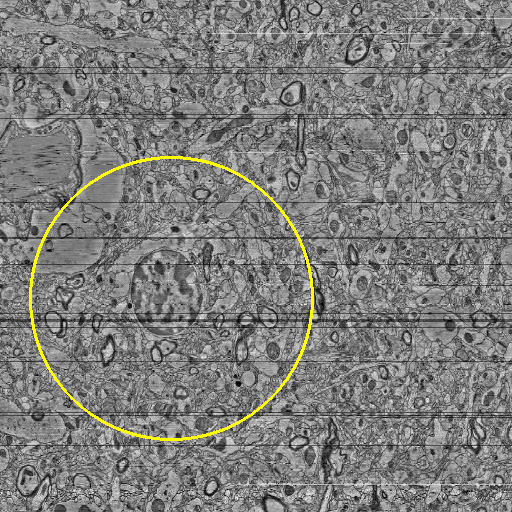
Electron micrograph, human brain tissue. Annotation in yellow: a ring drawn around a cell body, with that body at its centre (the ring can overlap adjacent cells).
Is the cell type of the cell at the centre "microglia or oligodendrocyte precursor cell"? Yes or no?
Yes, it is of that type.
